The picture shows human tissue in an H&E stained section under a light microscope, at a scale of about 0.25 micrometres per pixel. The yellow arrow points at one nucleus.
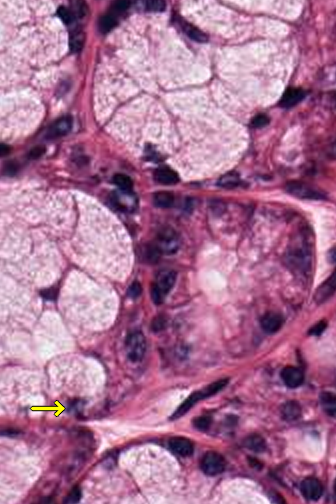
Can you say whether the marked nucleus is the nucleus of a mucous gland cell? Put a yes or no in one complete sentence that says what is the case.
Yes, the marked nucleus belongs to a mucous gland cell in this image.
